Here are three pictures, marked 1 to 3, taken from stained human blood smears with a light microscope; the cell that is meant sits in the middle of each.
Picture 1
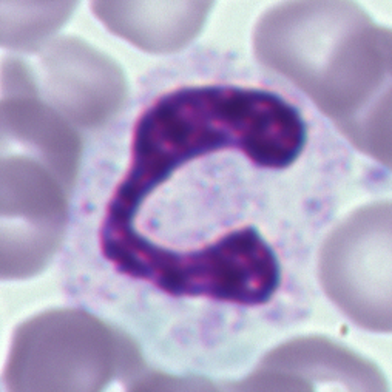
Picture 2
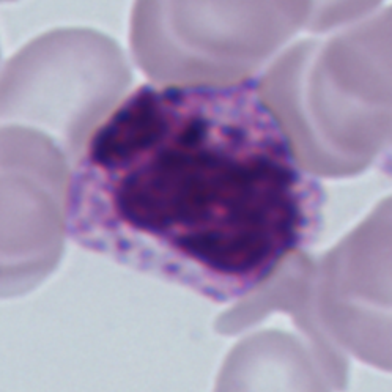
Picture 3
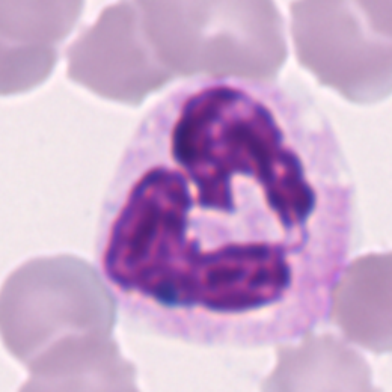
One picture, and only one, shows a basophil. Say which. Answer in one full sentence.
The basophil is the one in picture 2.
